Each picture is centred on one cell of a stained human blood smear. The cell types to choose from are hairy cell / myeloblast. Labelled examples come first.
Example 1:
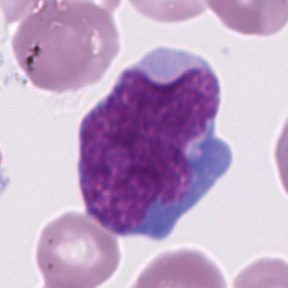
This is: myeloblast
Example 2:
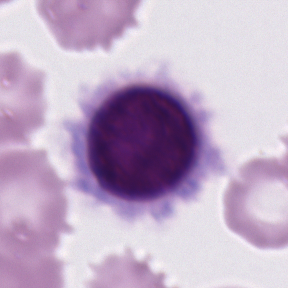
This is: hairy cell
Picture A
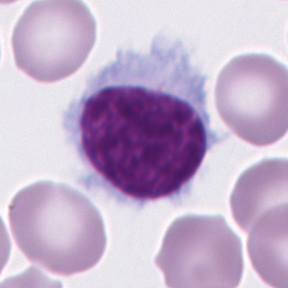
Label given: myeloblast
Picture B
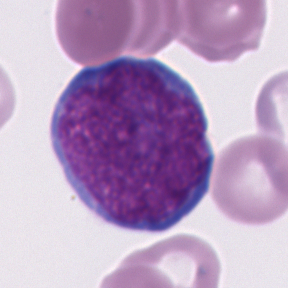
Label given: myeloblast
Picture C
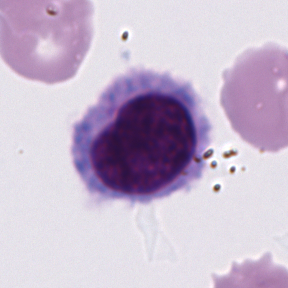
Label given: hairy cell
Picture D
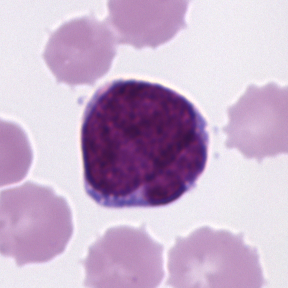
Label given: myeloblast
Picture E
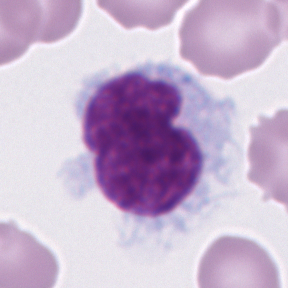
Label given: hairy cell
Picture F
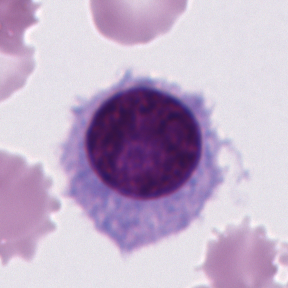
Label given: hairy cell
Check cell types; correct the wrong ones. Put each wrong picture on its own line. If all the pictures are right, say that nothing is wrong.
A should be hairy cell, not myeloblast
